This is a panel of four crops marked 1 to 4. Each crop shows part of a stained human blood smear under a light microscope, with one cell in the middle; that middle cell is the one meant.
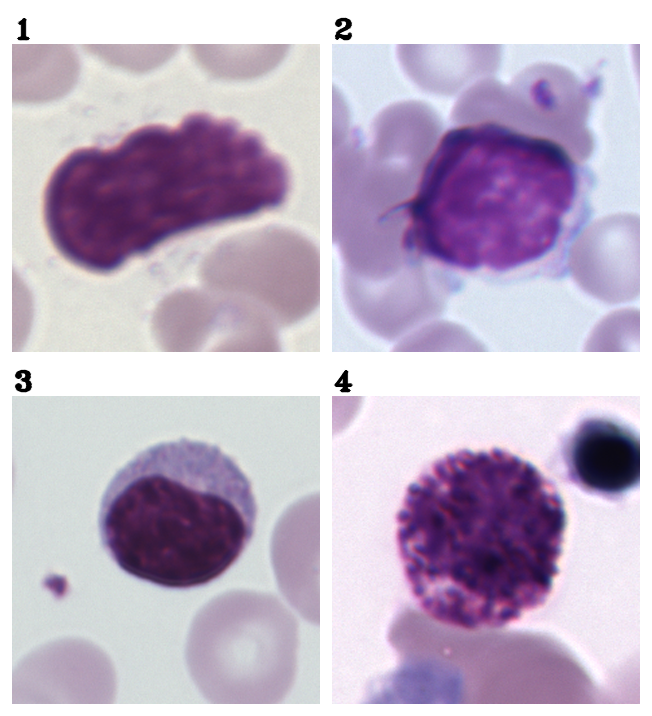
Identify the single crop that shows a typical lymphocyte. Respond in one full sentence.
Crop 3, and no other, shows a typical lymphocyte.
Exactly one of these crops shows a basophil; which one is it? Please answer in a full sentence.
Crop 4 is the crop featuring a basophil at its center.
